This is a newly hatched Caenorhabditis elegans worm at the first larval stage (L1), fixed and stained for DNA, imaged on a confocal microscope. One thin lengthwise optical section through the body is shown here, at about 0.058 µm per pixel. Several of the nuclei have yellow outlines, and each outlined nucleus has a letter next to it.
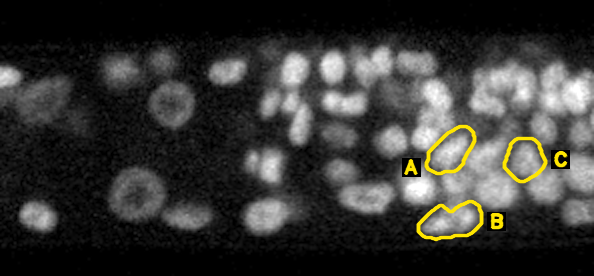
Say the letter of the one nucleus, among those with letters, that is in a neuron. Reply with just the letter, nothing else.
C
